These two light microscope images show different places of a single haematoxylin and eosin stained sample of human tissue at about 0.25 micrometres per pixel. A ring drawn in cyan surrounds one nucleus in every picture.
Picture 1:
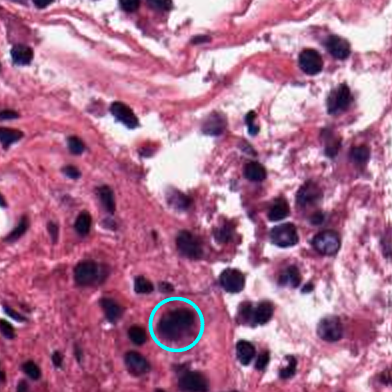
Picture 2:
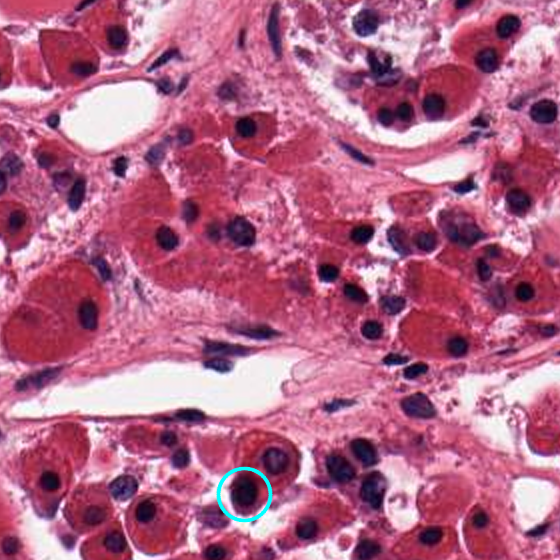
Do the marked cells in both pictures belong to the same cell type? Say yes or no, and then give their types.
Yes, both are anterior pituitary cells.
